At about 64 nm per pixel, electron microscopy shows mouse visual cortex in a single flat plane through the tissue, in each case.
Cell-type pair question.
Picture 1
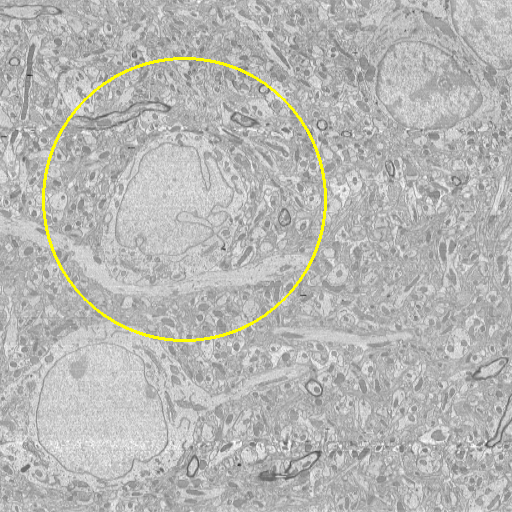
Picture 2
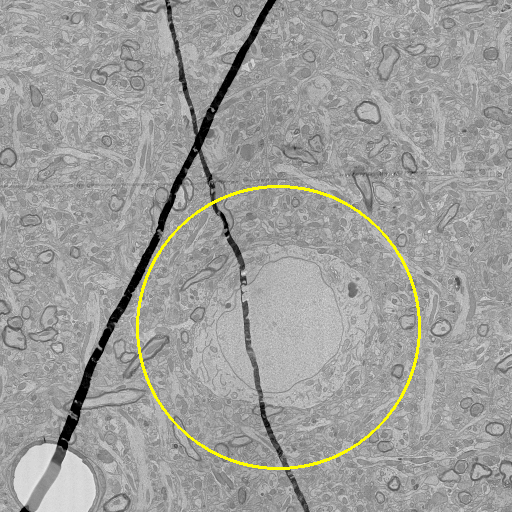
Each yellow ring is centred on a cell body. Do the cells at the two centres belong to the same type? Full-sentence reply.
No, the two cells belong to two types.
